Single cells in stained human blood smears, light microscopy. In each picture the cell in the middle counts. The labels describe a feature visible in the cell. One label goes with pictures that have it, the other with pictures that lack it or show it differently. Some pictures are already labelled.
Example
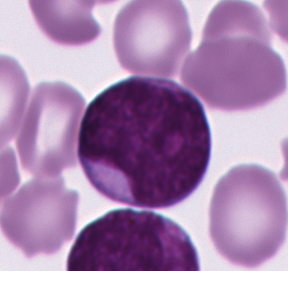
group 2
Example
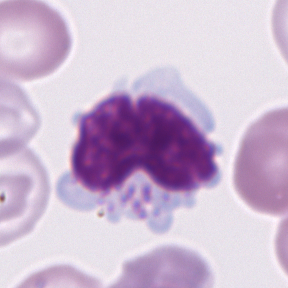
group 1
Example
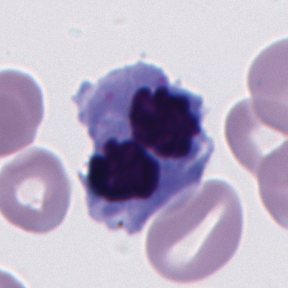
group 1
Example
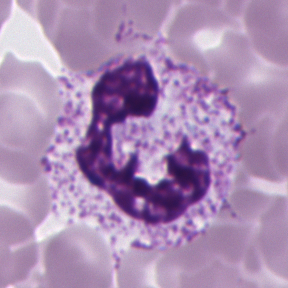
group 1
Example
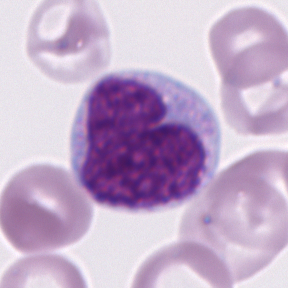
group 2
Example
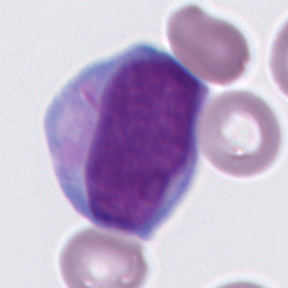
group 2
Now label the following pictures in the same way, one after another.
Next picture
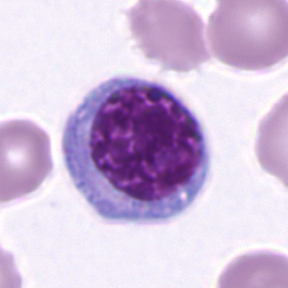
group 2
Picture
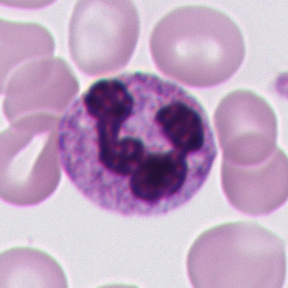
group 2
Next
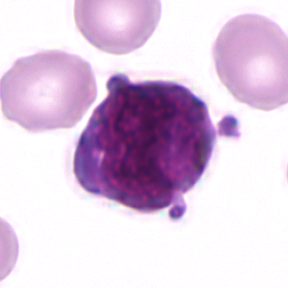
group 1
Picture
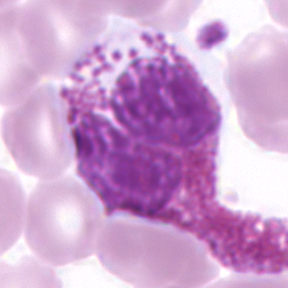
group 1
